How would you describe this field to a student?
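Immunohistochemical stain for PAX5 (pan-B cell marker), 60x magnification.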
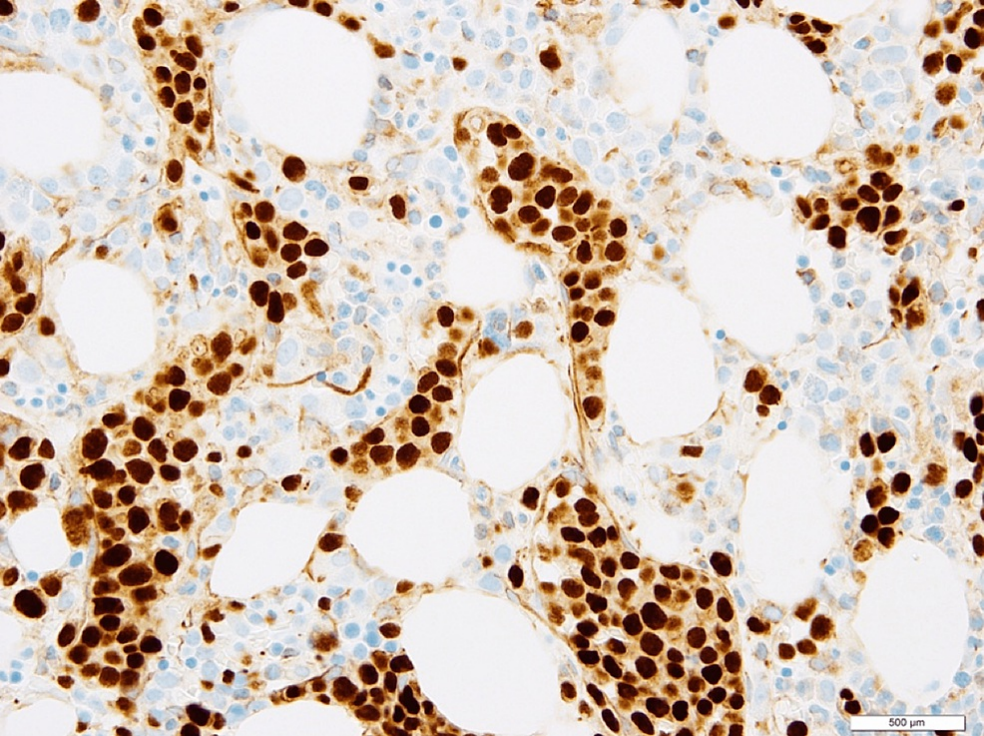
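This section shows a lymphoma infiltrate lying within sinusoids. The tumour cells have strongly brown-stained nuclei. They are large, with round to oval nuclei. They crowd together in branching, elongated channels that wind between many round, clear fat spaces. Around these channels lie smaller background cells whose nuclei take only the blue counterstain, so the brown cells stand out sharply against them.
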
